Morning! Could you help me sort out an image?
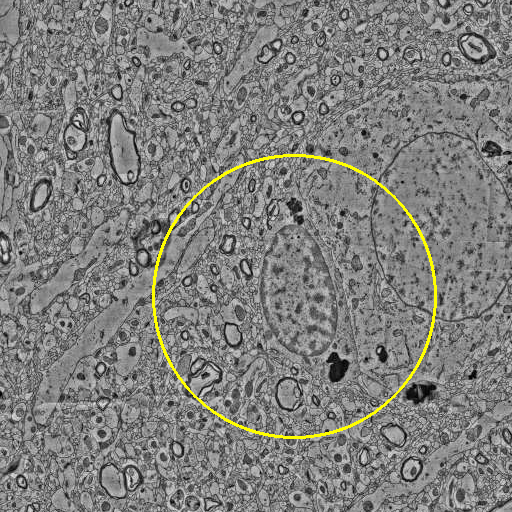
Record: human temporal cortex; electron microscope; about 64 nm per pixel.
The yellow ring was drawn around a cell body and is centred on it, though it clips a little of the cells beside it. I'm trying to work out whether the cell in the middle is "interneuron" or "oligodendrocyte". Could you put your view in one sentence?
The ringed cell body is that of an oligodendrocyte.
